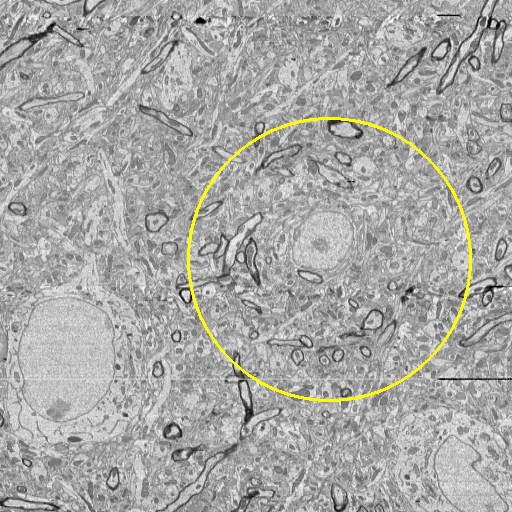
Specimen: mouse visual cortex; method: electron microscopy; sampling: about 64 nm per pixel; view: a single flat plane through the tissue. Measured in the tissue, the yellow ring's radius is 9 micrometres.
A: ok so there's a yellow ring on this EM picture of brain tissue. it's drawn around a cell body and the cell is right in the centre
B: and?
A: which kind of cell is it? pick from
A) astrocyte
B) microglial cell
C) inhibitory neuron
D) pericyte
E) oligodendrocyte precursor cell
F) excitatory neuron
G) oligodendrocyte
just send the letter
E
